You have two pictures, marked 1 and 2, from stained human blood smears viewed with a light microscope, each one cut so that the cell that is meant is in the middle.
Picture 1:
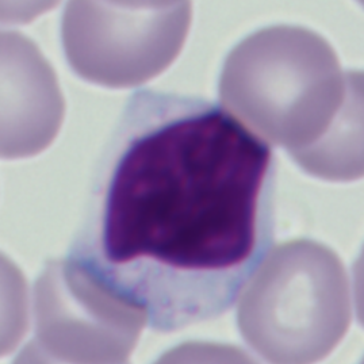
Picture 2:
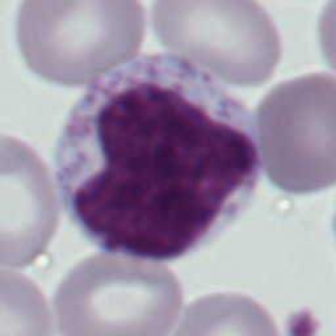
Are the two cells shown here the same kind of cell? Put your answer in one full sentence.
Yes, the two pictures both show large granular lymphocytes.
